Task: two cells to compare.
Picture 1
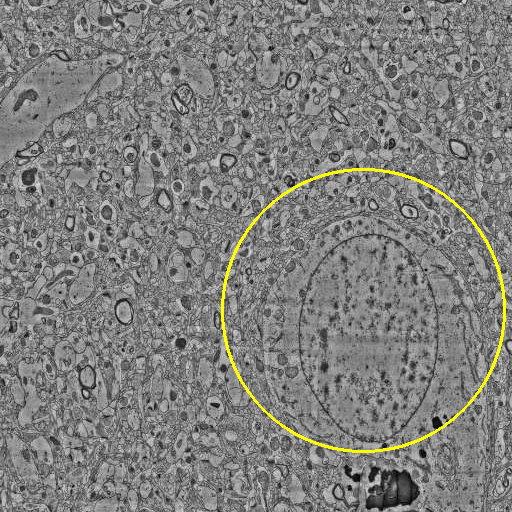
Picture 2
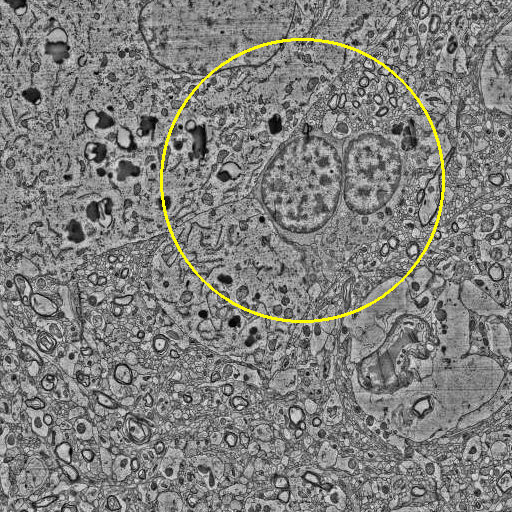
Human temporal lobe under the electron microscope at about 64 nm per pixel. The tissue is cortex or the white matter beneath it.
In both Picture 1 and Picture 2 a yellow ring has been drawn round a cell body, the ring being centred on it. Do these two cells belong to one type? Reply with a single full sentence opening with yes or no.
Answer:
No, the two cells at the ring centres in Picture 1 and Picture 2 are of two types.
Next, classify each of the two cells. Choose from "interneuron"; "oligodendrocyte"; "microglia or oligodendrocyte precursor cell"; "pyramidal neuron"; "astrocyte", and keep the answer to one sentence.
In the first picture it is a pyramidal neuron; in the second it is an oligodendrocyte.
